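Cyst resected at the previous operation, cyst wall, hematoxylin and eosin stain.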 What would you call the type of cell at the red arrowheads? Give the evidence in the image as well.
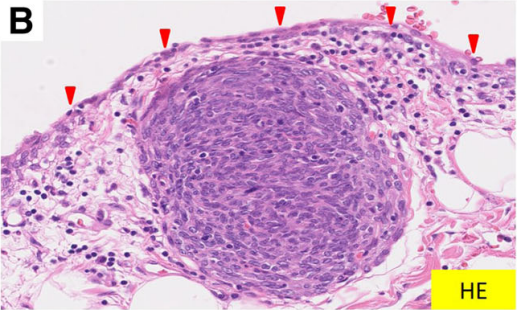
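The arrowheads sit along the free surface of the tissue. The answer: squamous and cuboidal epithelial cells.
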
